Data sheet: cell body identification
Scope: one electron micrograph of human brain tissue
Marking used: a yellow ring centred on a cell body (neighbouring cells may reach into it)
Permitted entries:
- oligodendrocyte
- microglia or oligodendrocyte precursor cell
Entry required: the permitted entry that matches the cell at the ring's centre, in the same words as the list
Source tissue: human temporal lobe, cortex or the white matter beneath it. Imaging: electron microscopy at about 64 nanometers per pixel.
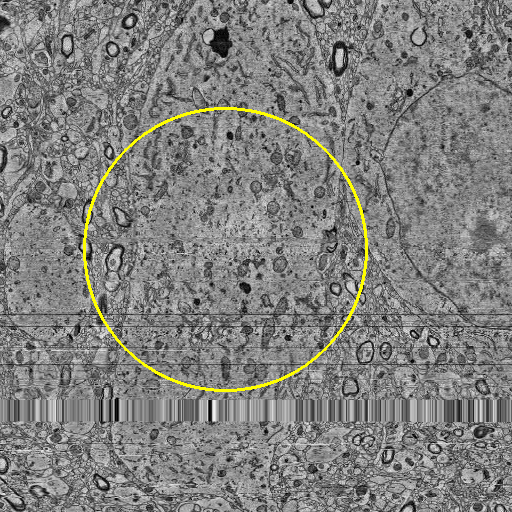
oligodendrocyte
